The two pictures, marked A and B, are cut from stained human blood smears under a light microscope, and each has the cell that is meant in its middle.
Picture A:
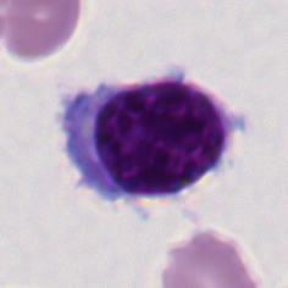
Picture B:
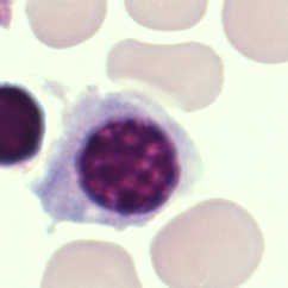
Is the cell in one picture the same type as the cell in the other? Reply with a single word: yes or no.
no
